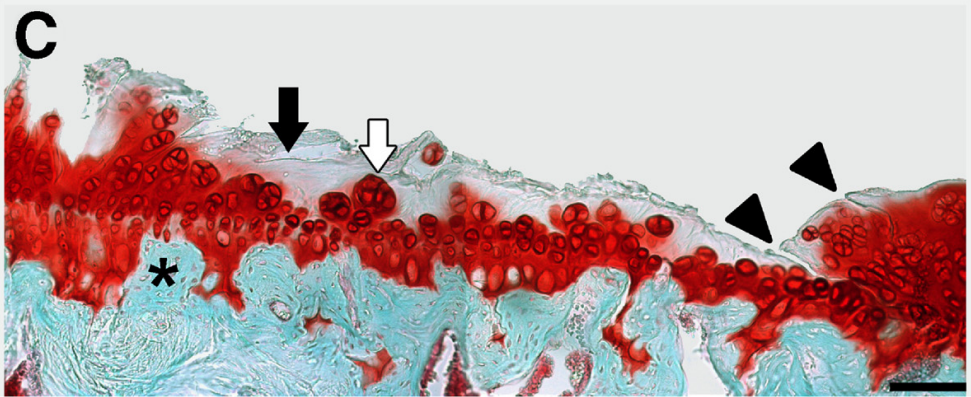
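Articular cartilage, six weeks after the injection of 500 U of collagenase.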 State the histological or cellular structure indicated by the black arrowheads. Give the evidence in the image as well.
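Clefts cut into the cartilage surface where the arrowheads point. The surface is split with flaps of matrix lifted. The answer: fissures.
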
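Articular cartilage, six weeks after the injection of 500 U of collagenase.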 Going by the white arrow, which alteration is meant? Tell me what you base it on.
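A round group of several enlarged cells lies under the arrow. Many cells in the layer are large and grouped in clusters.
Answer: chondrocyte clustering and hypertrophy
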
